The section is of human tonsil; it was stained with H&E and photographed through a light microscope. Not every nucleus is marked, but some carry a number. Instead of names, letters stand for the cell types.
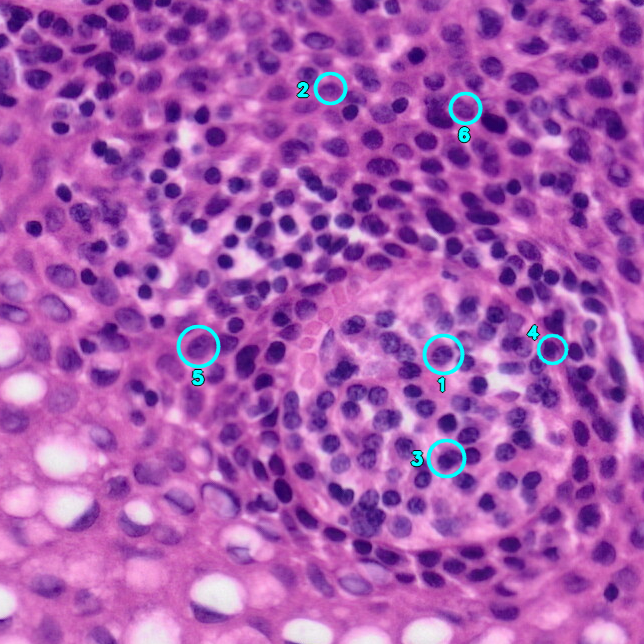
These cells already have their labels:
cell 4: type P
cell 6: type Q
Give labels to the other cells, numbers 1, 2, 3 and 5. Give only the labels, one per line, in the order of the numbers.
type P
type Q
type P
type Q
